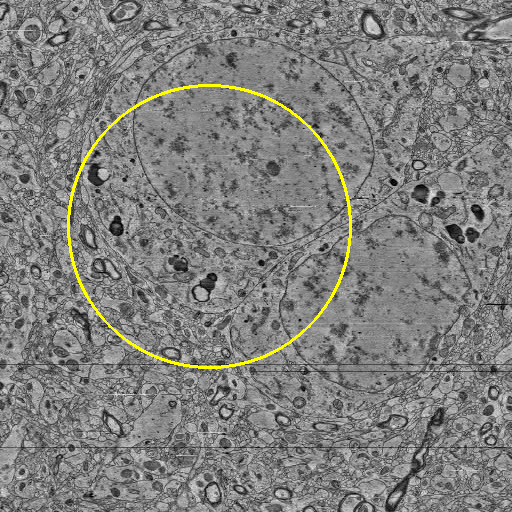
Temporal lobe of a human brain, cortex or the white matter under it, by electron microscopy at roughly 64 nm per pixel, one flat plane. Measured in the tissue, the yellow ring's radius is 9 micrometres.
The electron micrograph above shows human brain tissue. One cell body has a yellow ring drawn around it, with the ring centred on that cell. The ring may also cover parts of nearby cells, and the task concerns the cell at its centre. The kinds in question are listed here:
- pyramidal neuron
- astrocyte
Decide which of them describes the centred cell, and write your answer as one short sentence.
The centred cell is a pyramidal neuron.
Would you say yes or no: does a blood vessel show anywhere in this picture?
No.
